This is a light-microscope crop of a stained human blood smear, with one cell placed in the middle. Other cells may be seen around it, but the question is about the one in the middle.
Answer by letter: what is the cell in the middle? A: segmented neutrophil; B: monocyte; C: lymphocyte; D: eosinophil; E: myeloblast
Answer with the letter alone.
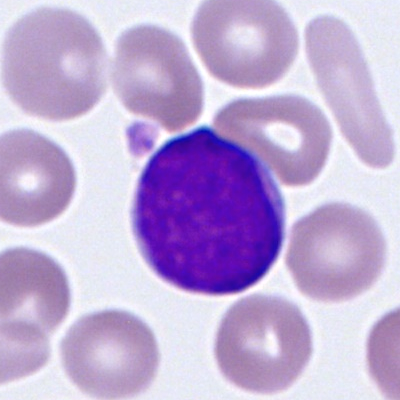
E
